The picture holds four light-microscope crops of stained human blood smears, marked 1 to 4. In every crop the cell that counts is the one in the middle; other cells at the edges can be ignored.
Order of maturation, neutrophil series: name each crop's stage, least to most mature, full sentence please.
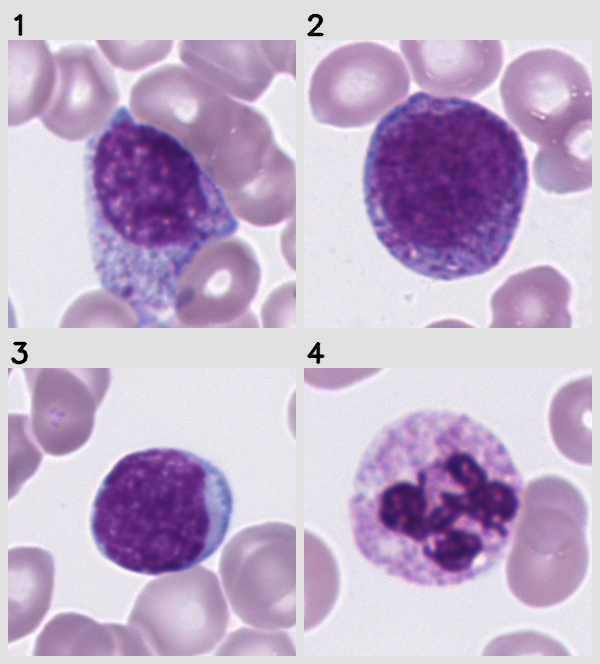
When lined up from least to most mature, the crops are crop 3 (a myeloblast), crop 2 (a promyelocyte), crop 1 (a myelocyte) and crop 4 (a segmented neutrophil).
